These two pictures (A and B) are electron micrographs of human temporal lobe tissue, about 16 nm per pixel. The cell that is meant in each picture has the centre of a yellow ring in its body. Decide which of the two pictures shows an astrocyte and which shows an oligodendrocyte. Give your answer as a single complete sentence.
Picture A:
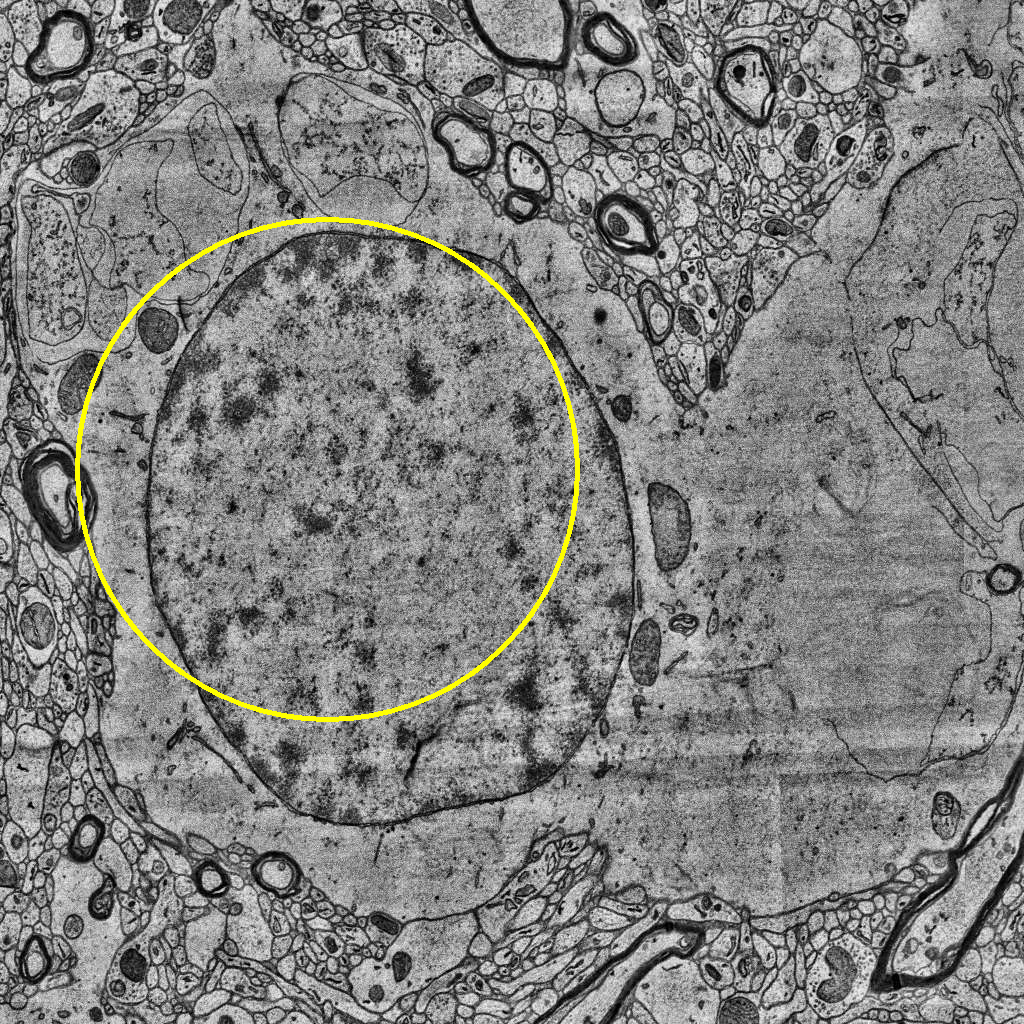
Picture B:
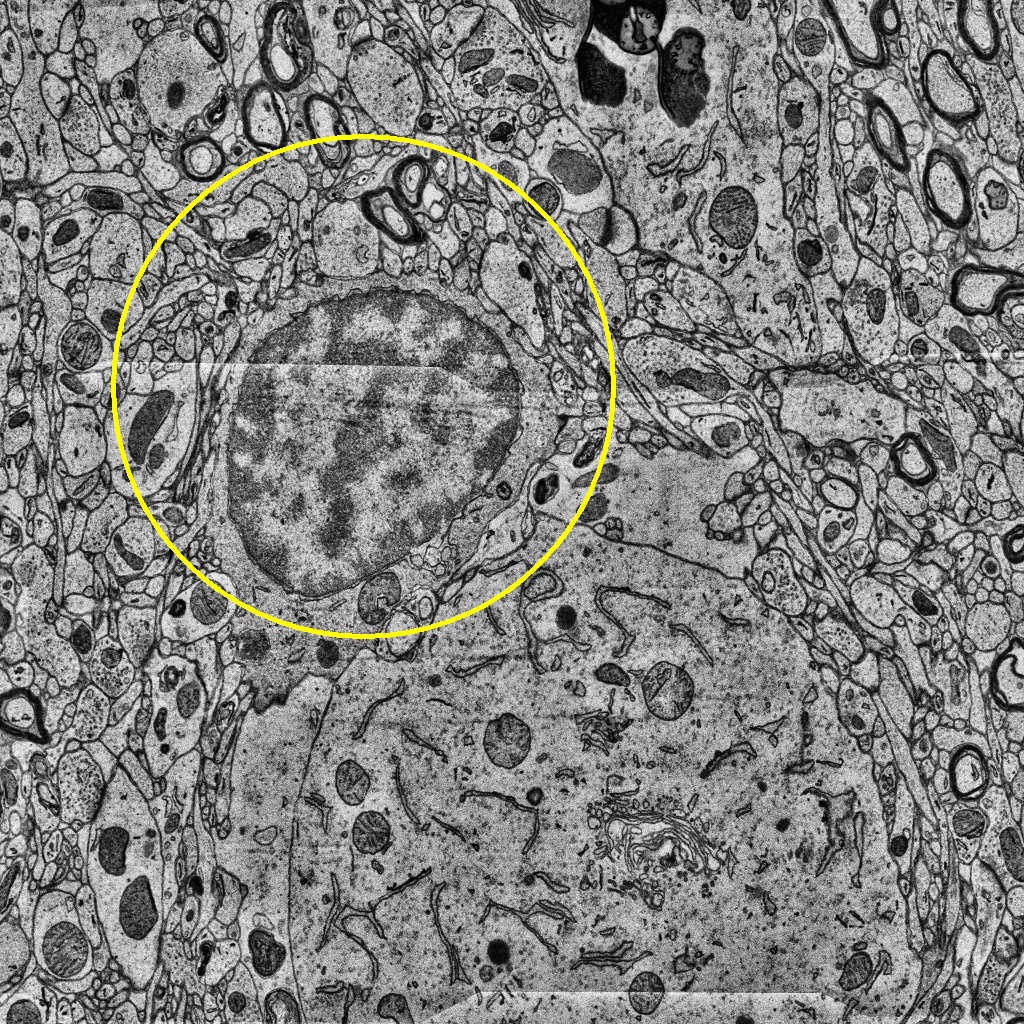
The cell in picture A is an astrocyte, and the one in picture B is an oligodendrocyte.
